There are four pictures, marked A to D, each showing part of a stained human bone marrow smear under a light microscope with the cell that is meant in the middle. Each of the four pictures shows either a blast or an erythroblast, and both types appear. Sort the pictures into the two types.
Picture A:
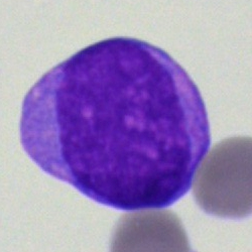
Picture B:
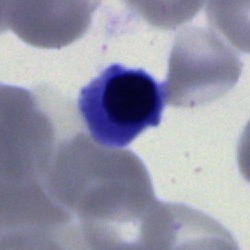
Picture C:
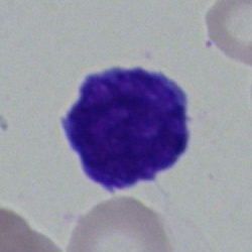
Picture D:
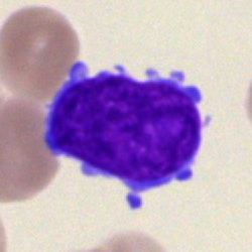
A: blast
B: erythroblast
C: blast
D: blast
